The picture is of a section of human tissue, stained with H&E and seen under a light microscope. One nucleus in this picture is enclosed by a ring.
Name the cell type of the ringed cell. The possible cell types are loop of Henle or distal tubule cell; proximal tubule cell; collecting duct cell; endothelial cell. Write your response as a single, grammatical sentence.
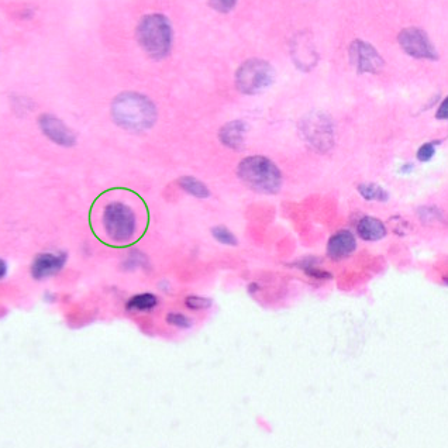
On this particular slide, the ringed cell is a proximal tubule cell.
